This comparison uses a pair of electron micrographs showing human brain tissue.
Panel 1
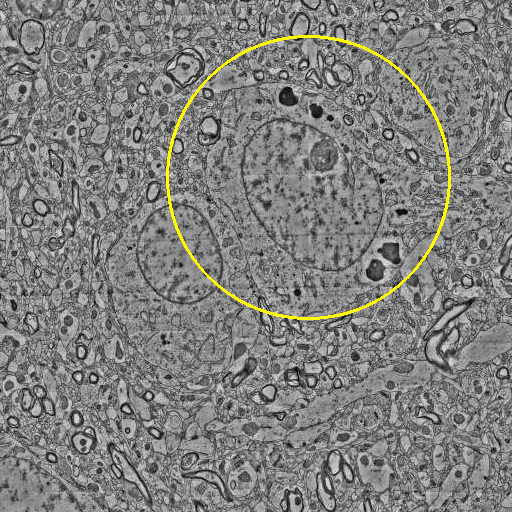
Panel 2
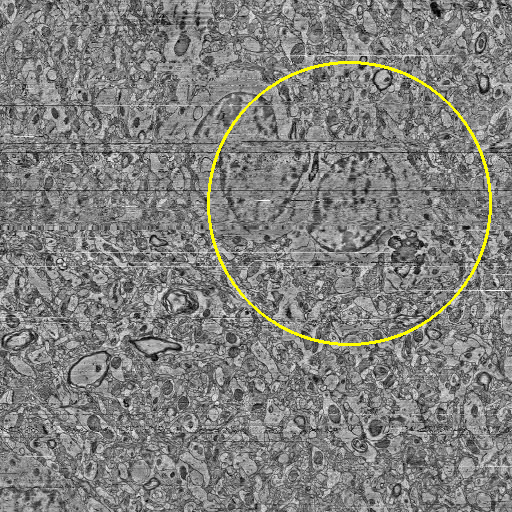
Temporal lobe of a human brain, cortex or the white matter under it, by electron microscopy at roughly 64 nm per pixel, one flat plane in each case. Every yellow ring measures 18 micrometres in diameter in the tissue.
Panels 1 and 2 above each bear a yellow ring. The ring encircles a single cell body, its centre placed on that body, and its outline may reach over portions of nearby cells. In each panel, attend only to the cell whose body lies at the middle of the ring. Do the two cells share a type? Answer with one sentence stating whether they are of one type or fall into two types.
In Panel 1 and Panel 2, the cells at the centres of the rings fall into two types.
